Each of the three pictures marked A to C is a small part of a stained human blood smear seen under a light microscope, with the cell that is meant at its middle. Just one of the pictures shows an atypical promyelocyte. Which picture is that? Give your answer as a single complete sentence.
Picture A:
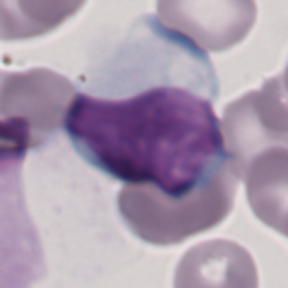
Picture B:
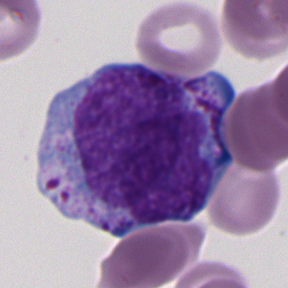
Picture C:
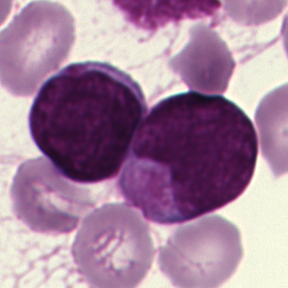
The atypical promyelocyte is the one in picture B.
